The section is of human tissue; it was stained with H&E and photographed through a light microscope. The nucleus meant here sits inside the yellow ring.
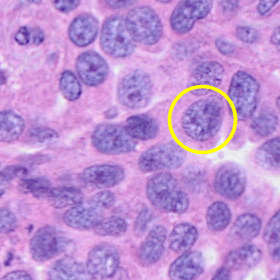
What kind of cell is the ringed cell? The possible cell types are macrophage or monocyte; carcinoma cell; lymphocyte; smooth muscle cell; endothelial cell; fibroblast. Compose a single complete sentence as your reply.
The cell type of the ringed cell is that of a carcinoma cell.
